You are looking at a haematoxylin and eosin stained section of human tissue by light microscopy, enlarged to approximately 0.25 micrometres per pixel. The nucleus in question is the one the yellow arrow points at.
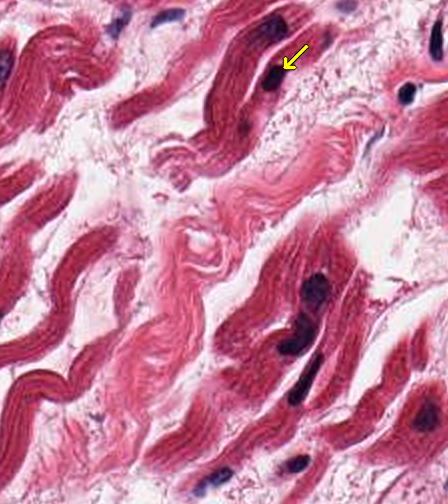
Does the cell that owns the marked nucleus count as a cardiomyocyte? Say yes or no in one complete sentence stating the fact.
Yes, the nucleus that carries the mark belongs to a cardiomyocyte.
